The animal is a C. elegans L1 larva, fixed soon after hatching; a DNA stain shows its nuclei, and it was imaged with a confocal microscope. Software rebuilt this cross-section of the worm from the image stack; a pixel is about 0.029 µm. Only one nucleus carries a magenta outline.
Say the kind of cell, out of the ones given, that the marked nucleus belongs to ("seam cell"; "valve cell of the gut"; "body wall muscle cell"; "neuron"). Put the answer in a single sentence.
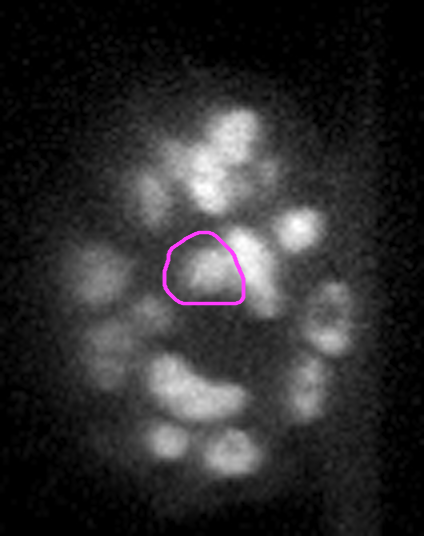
The marked nucleus is that of a valve cell of the gut.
